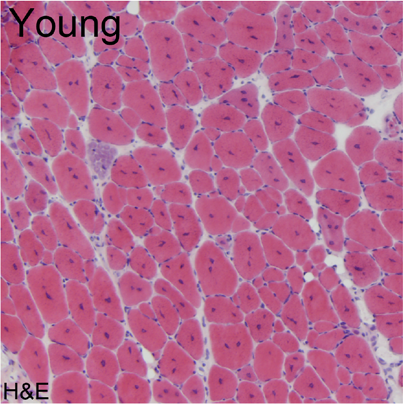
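This is skeletal muscle cut in cross-section, made of closely packed muscle fibres. The fibres appear as polygonal to rounded pink profiles of varying size, filled with evenly stained eosinophilic cytoplasm. Many fibres carry a dark purple nucleus lying in their interior rather than under the edge, a feature of regenerating fibres. Thin pale boundaries separate neighbouring fibres, and here and there wider pale, unstained spaces open between groups of fibres. Small clusters of purple nuclei sit in the spaces between fibres, consistent with interstitial cells.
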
